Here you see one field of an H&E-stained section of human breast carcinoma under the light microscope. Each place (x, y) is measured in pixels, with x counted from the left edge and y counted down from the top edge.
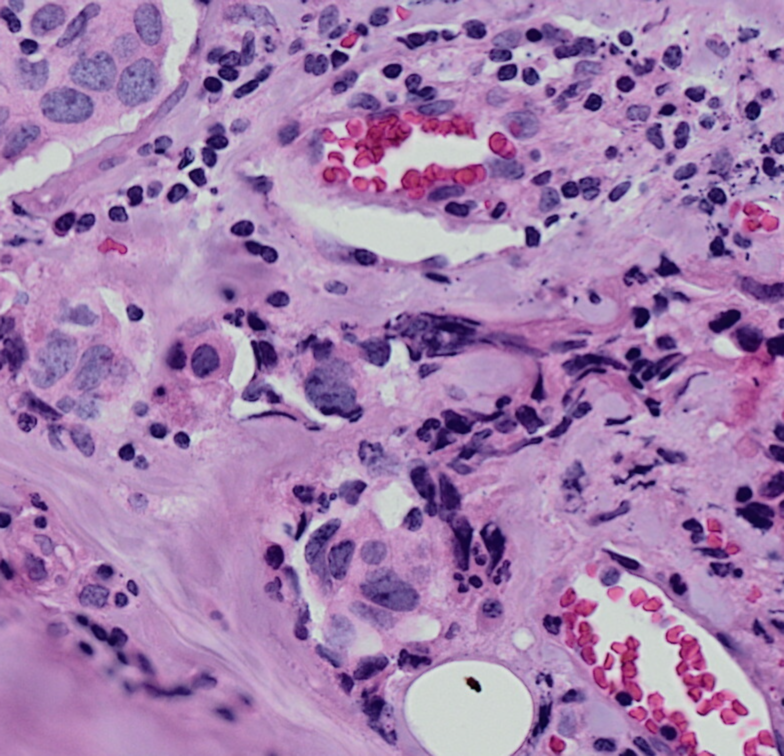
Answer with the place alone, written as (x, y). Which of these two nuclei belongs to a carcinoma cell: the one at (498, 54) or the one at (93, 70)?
(93, 70)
